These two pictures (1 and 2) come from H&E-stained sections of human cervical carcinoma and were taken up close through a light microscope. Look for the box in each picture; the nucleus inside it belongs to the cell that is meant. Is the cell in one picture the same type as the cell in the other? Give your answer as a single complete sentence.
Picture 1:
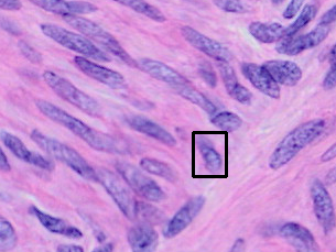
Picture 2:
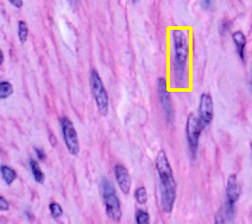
Yes; the cells in both pictures are smooth muscle cells.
